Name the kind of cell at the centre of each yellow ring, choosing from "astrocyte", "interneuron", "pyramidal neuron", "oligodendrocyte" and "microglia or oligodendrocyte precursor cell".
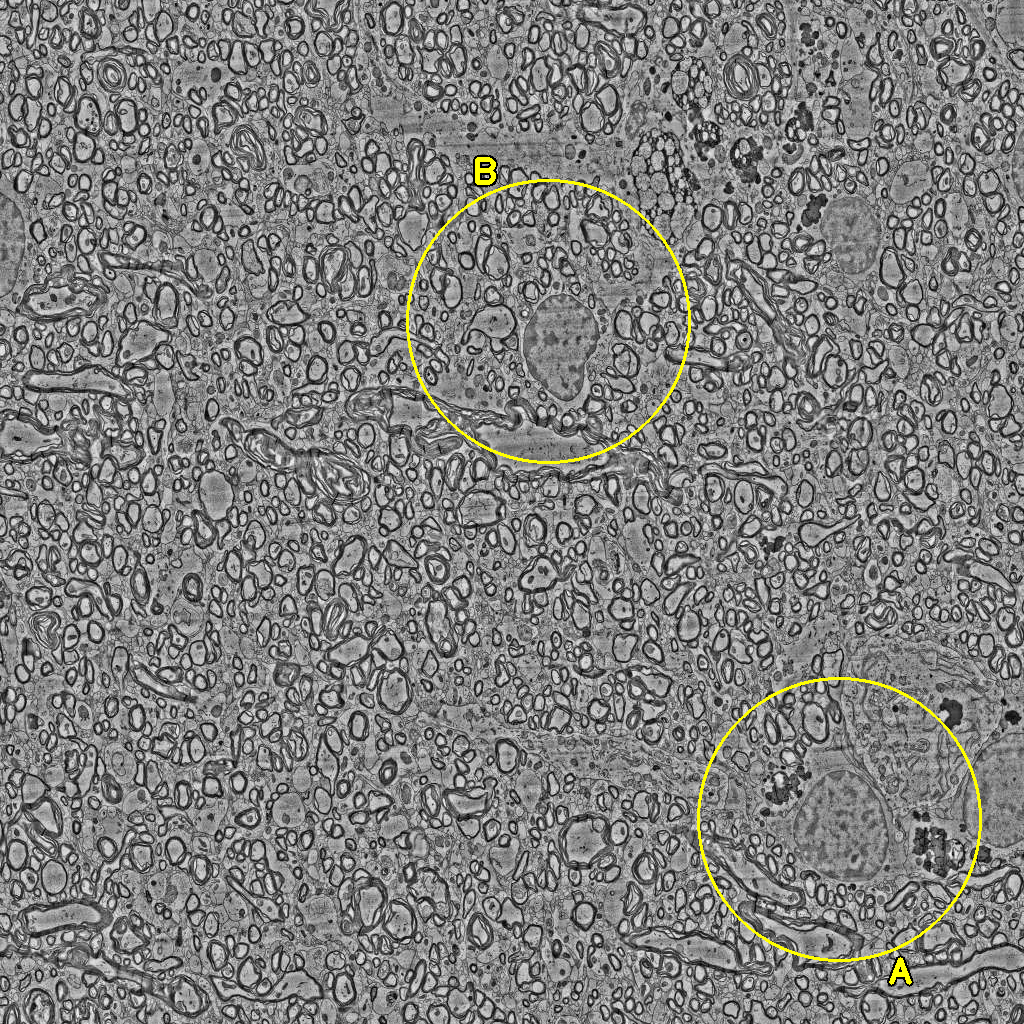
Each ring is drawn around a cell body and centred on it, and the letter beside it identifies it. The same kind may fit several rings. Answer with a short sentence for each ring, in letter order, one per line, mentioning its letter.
Ring A is drawn around an oligodendrocyte.
Ring B is drawn around a microglial cell or oligodendrocyte precursor cell.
